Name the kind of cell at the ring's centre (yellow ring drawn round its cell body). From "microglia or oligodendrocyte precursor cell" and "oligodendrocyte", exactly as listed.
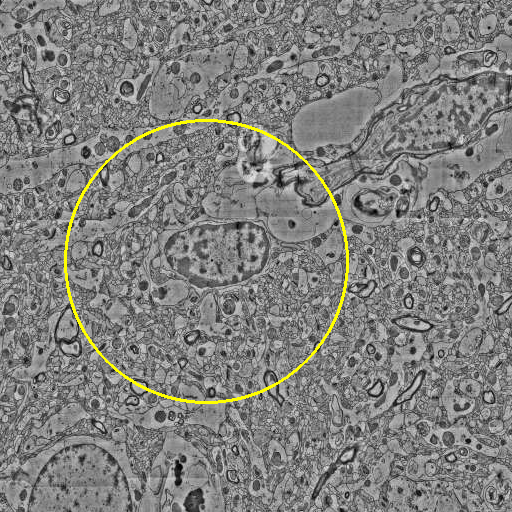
microglia or oligodendrocyte precursor cell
